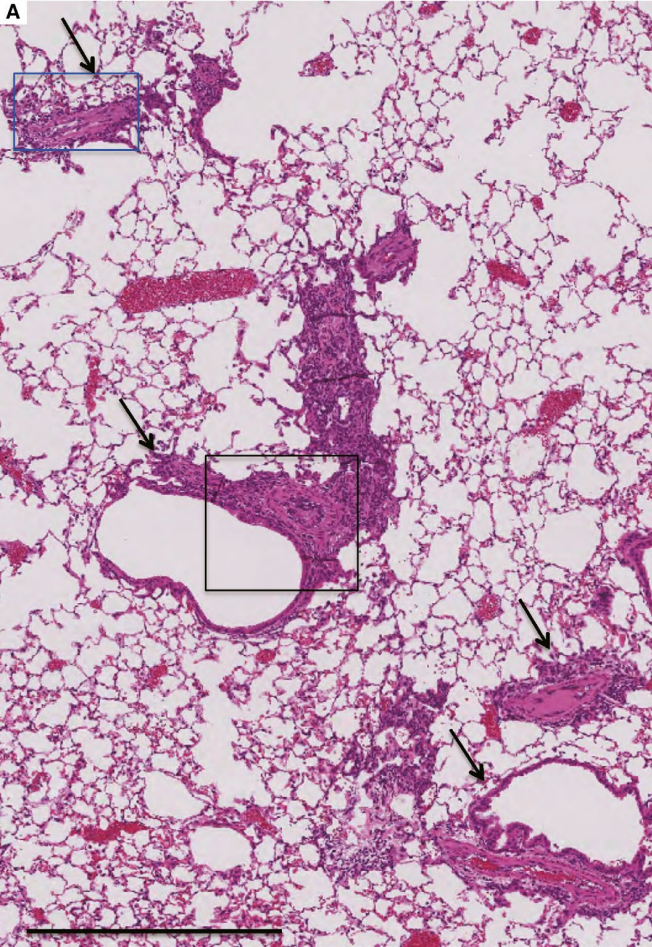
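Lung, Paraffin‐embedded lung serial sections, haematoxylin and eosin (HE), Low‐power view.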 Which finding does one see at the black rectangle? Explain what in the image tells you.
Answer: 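The rectangle encloses a thick band of densely packed nuclei beside a large airway lumen lined by epithelium. That points to this answer: Active inflammatory lesions in the peribronchial area.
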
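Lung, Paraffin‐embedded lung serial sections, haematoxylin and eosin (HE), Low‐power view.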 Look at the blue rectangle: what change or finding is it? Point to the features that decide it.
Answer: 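Inflammatory cell‐infiltrated lesions in the perivascular area. The rectangle encloses a blood vessel with a pink wall. Crowded dark nuclei surround the vessel wall.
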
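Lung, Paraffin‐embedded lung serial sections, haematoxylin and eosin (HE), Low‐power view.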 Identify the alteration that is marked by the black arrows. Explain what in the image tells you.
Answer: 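Inflammatory changes. Dense purple cellular cuffs surround airways and vessels where the arrows point. The surrounding alveolar parenchyma is thin-walled and open.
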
